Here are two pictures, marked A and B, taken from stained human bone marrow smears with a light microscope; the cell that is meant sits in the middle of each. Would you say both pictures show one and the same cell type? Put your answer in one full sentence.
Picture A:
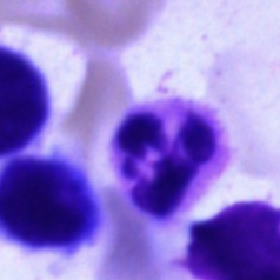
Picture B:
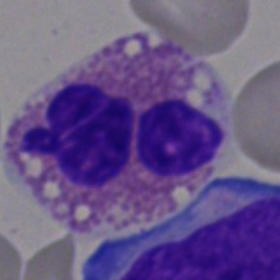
No. Picture A shows a segmented neutrophil, but picture B shows an eosinophil.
